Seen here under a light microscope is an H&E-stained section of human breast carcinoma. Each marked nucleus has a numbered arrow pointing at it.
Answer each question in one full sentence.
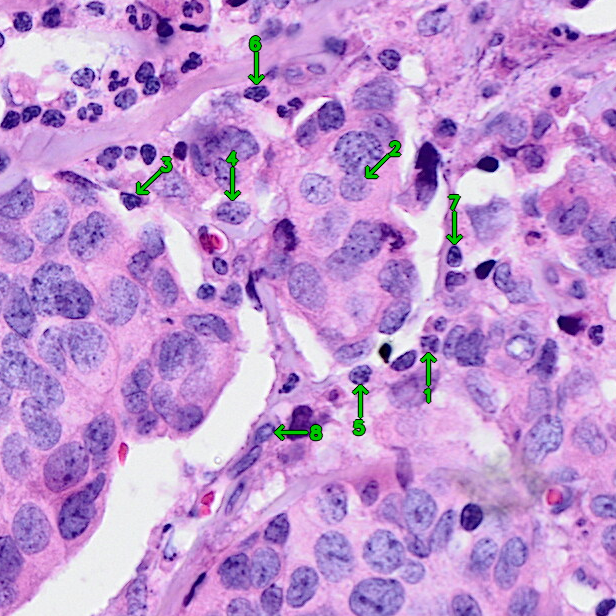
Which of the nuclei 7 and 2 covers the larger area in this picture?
Nucleus 2 is the larger one, covering about 2 times the area of nucleus 7.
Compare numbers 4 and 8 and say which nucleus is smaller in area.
With nucleus 4 about 2.5 times its size, nucleus 8 is the smaller of the two.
